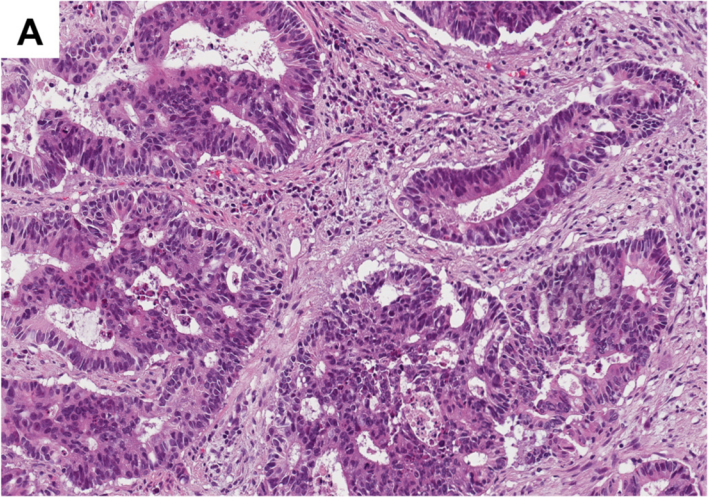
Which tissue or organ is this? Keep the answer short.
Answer: Colorectal adenocarcinoma.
